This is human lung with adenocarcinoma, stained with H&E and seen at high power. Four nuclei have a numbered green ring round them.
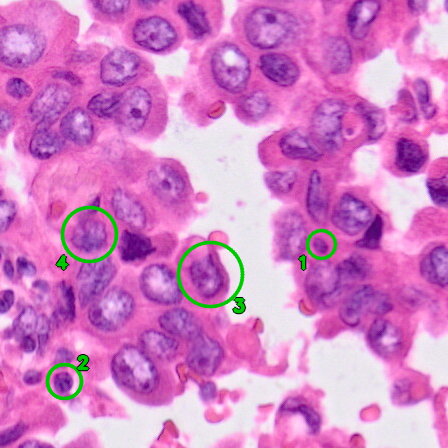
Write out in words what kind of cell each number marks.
Cell 1 is a carcinoma cell, cell 2 is a lymphocyte, cell 3 is a carcinoma cell and cell 4 is a carcinoma cell.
